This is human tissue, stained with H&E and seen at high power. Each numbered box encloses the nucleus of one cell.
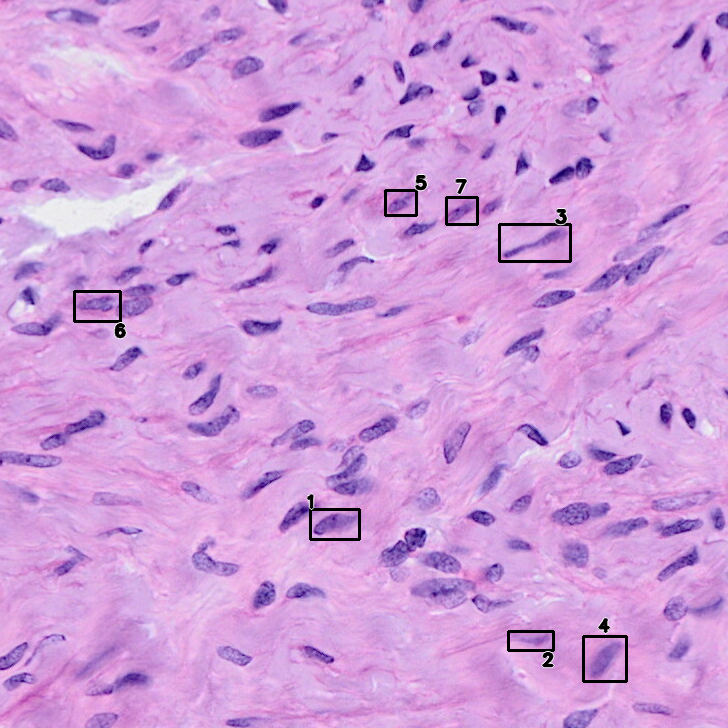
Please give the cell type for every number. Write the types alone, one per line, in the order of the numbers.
fibroblast
fibroblast
fibroblast
fibroblast
smooth muscle cell
smooth muscle cell
smooth muscle cell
